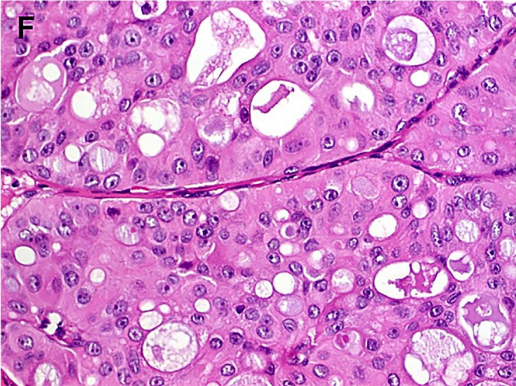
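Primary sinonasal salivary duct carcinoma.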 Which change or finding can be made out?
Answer: High-grade apocrine cytology.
